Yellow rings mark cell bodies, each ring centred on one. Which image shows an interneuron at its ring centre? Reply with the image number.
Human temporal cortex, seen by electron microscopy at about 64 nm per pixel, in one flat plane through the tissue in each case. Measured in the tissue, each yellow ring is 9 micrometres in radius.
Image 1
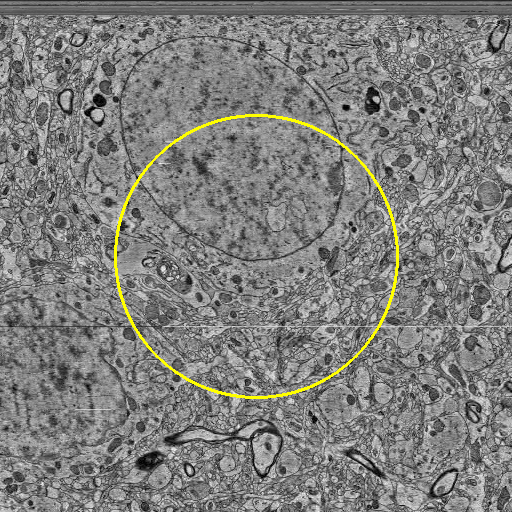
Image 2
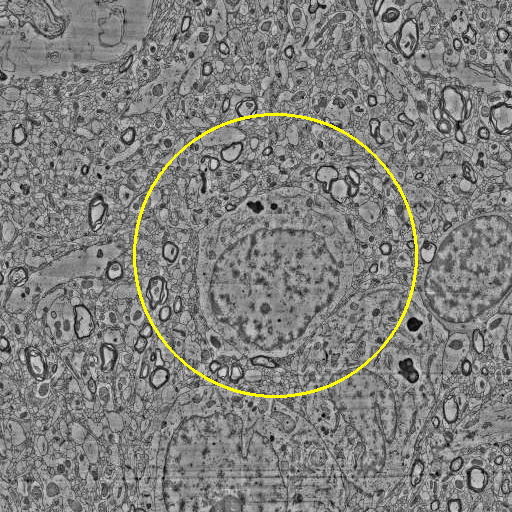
2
